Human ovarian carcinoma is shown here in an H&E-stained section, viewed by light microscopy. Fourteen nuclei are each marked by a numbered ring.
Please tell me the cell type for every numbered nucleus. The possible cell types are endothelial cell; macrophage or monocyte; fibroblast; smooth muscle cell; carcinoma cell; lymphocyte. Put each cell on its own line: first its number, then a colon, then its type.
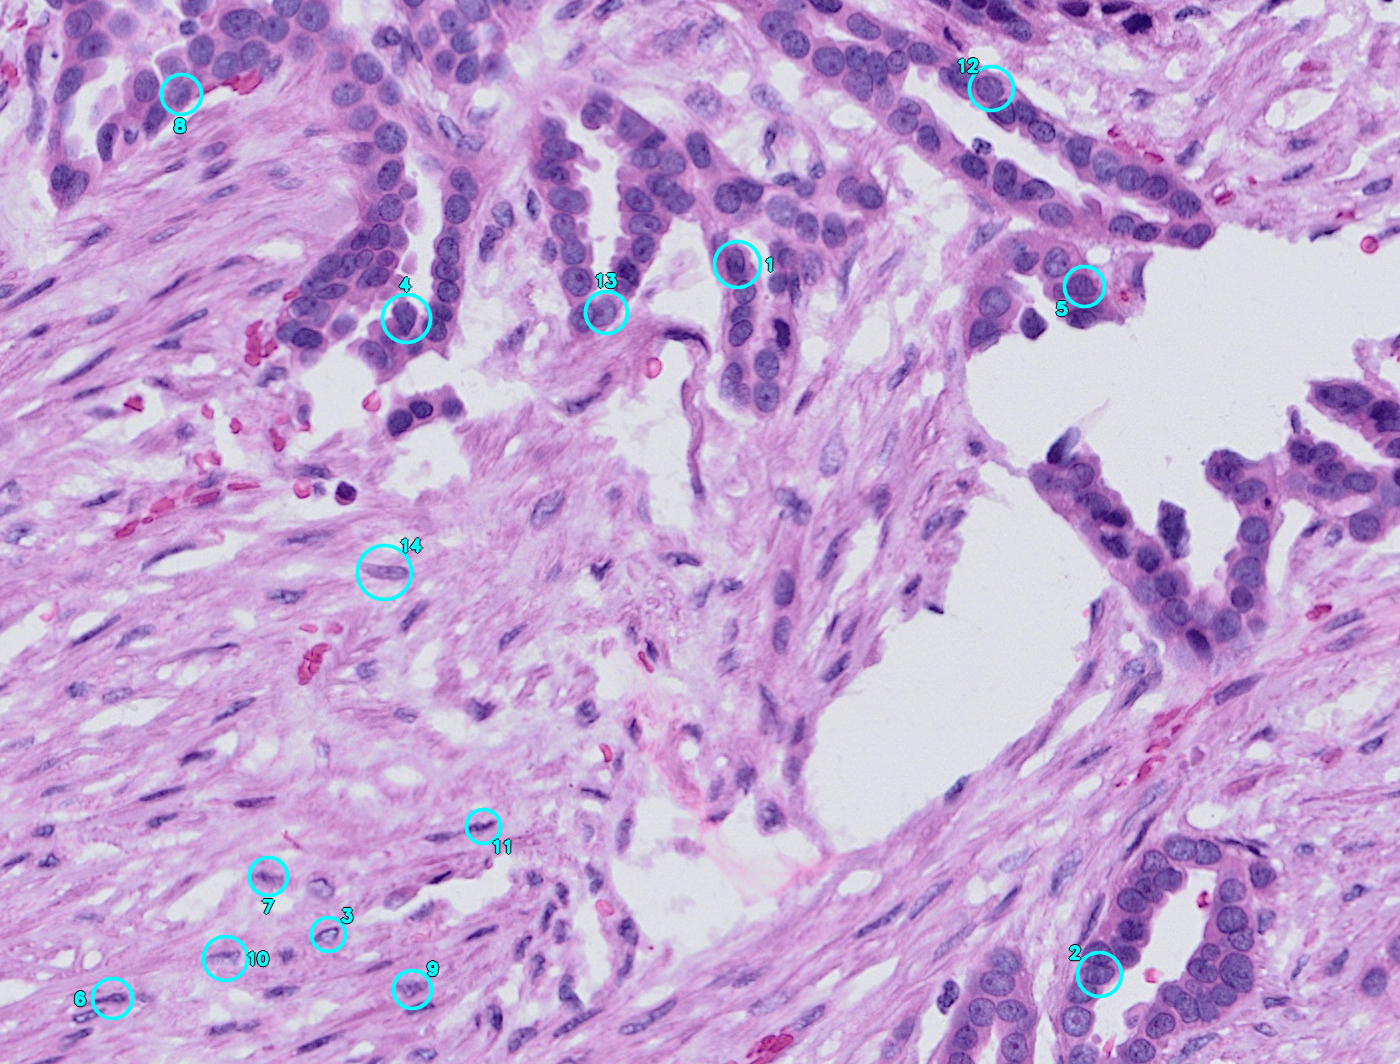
1: carcinoma cell
2: carcinoma cell
3: fibroblast
4: carcinoma cell
5: carcinoma cell
6: fibroblast
7: fibroblast
8: carcinoma cell
9: fibroblast
10: fibroblast
11: fibroblast
12: carcinoma cell
13: carcinoma cell
14: fibroblast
